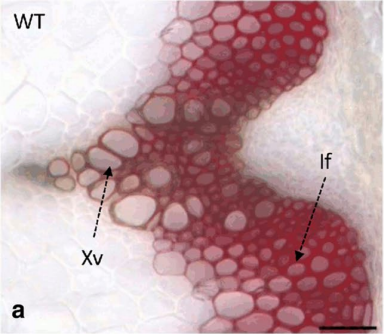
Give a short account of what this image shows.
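The xylem forms a wedge with wide round vessels among small thick-walled cells, pointing toward the unstained thin-walled pith cells. A continuous band of small, tightly packed, heavily stained fibers runs from the bundle along the stem. The vessels are round to oval with open lumens and even walls.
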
